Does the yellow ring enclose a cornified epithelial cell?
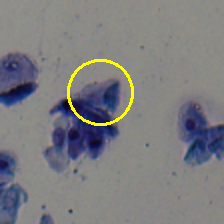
Yes. The ring encloses a cornified epithelial cell.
